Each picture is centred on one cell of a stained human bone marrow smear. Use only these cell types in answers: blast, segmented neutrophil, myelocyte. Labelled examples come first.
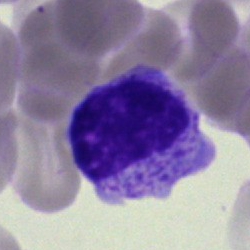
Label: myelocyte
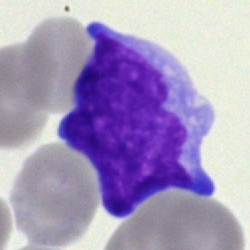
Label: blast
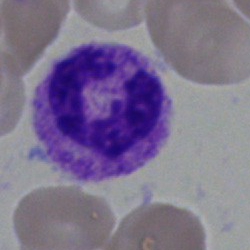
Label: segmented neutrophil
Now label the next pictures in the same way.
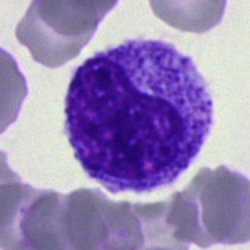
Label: myelocyte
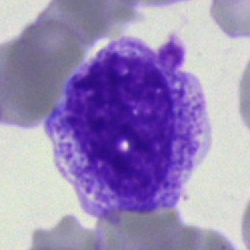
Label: myelocyte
